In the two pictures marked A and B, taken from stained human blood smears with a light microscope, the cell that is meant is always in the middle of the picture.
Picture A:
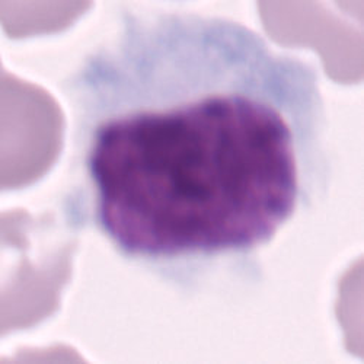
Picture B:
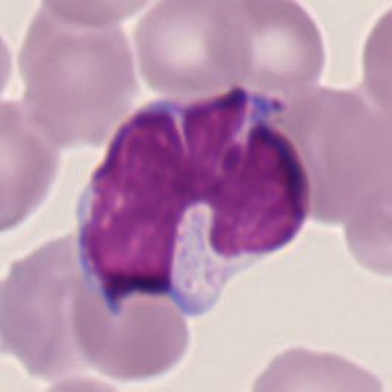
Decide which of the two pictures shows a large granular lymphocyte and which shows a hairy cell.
A: hairy cell
B: large granular lymphocyte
